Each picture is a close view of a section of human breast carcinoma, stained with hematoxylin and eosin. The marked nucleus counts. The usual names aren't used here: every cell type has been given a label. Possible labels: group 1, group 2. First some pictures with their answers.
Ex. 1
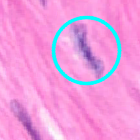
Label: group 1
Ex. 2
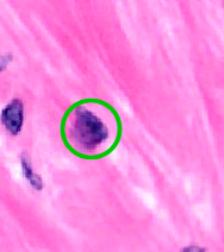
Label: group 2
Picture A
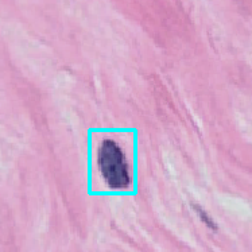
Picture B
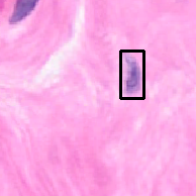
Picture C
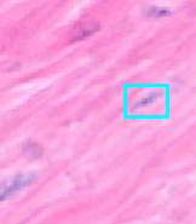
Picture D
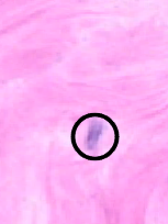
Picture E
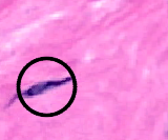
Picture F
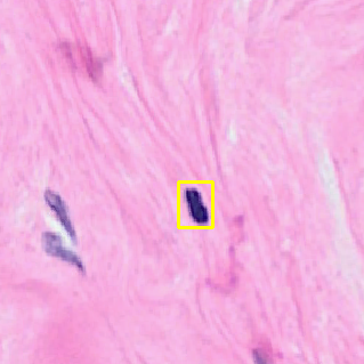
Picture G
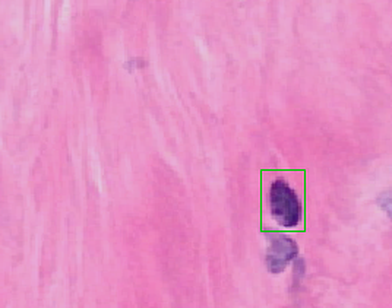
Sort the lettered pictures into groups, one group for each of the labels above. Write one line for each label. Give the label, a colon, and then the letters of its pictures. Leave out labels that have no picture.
group 1: B, C, D, E
group 2: A, F, G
